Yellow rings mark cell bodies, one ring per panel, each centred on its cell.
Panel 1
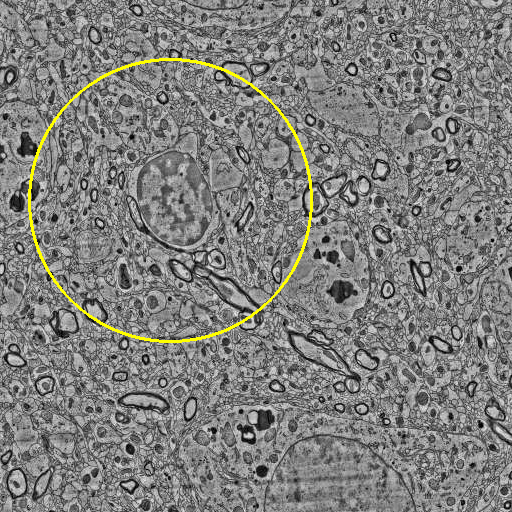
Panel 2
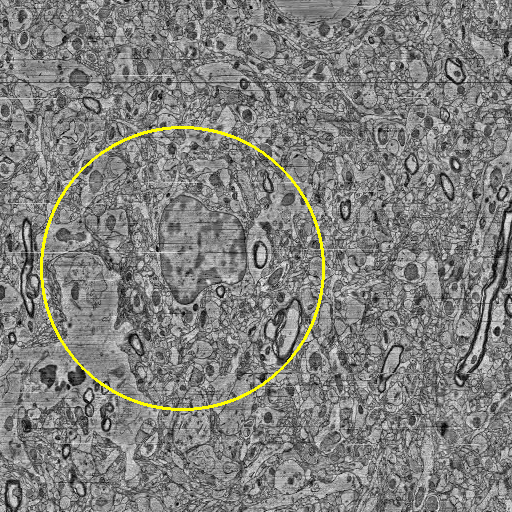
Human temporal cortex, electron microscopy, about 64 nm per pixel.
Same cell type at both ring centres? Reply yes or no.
yes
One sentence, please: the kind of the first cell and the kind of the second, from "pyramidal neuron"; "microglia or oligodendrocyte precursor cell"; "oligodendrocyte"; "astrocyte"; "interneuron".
The cell in the first picture is a microglial cell or oligodendrocyte precursor cell, and so is the one in the second.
